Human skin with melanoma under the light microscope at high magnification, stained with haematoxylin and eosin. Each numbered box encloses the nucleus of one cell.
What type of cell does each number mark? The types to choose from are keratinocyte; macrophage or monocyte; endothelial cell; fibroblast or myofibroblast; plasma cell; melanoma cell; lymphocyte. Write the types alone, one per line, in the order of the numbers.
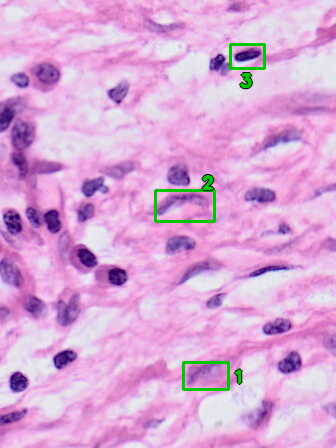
fibroblast or myofibroblast
fibroblast or myofibroblast
lymphocyte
